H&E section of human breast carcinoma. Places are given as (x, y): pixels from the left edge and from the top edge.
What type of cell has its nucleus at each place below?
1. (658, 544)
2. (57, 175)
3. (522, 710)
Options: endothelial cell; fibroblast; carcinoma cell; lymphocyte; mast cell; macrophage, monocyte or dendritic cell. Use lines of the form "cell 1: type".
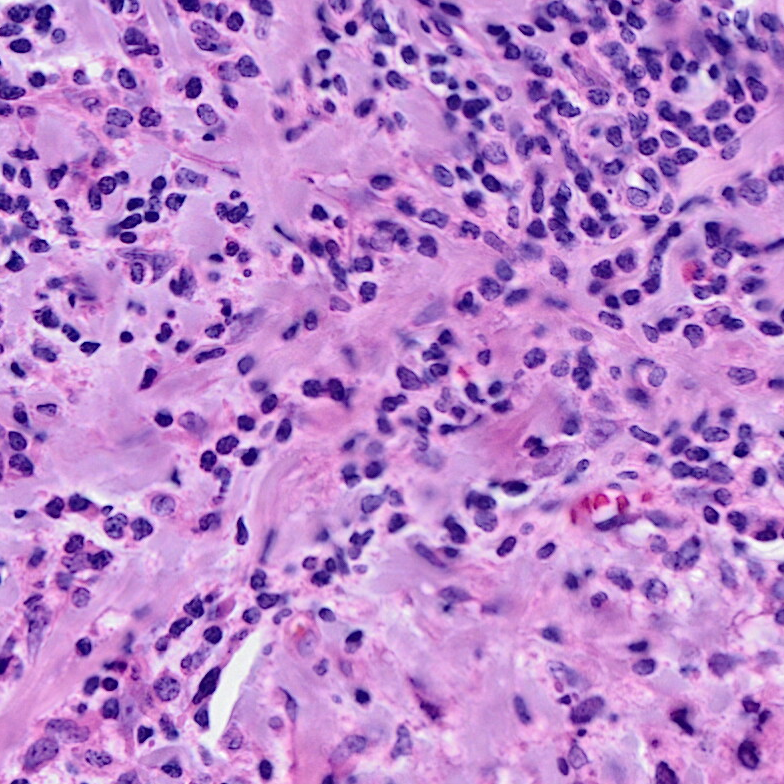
cell 1: mast cell
cell 2: lymphocyte
cell 3: mast cell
